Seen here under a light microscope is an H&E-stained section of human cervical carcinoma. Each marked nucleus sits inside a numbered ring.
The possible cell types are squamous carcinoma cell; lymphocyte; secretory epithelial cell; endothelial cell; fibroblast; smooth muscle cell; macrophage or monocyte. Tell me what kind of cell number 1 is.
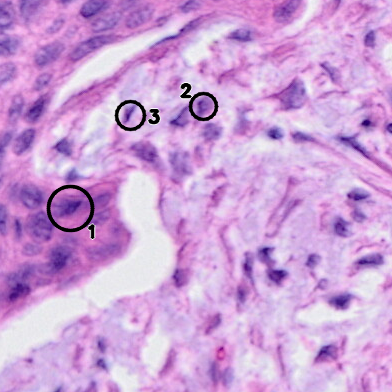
squamous carcinoma cell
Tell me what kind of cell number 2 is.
fibroblast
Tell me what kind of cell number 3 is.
fibroblast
